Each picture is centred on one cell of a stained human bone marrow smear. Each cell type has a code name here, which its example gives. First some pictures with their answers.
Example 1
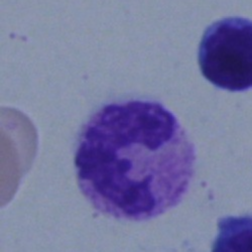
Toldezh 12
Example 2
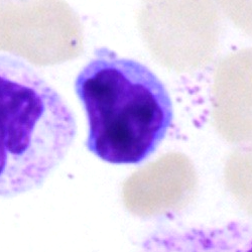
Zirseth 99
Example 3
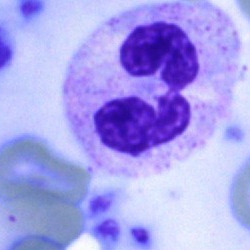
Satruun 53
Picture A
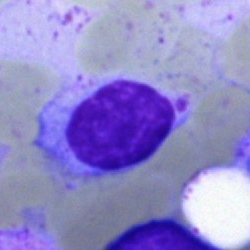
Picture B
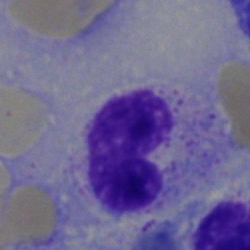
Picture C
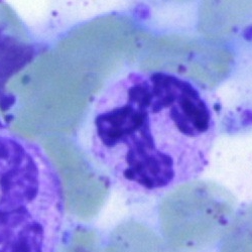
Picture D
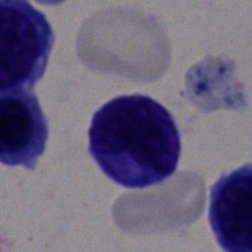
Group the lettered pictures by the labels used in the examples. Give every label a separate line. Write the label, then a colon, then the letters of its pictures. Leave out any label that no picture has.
Toldezh 12: B
Zirseth 99: A, D
Satruun 53: C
